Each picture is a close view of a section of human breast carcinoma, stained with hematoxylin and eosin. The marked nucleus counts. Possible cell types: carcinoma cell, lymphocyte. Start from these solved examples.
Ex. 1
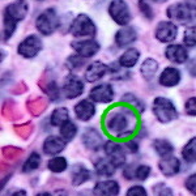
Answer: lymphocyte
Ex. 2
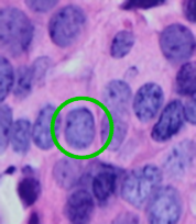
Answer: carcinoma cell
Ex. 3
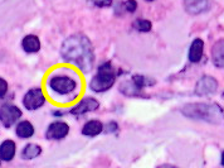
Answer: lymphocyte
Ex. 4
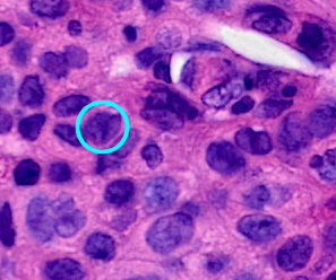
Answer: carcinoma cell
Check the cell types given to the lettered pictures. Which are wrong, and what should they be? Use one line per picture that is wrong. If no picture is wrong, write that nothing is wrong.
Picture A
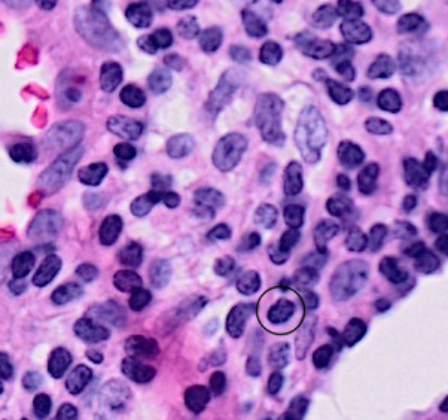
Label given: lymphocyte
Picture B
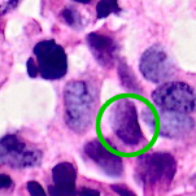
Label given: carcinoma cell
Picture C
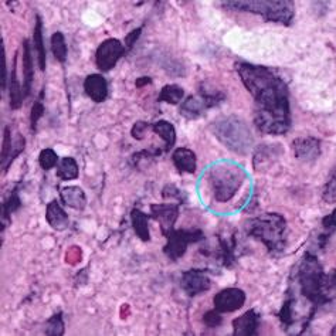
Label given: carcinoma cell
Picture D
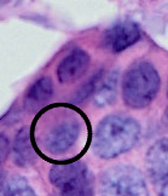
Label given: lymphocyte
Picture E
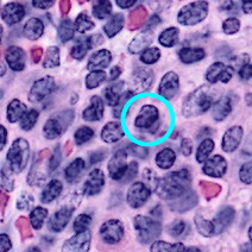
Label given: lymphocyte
D should be carcinoma cell, not lymphocyte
